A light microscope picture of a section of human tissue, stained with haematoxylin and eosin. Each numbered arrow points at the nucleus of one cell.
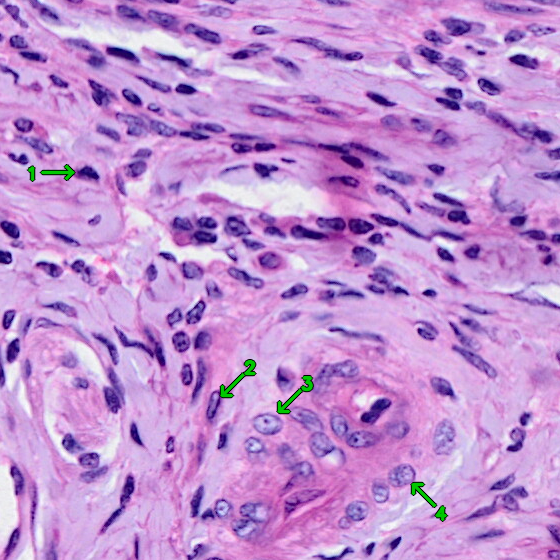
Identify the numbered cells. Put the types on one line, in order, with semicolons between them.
lymphocyte; endothelial cell; smooth muscle cell; smooth muscle cell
